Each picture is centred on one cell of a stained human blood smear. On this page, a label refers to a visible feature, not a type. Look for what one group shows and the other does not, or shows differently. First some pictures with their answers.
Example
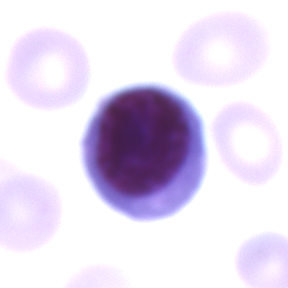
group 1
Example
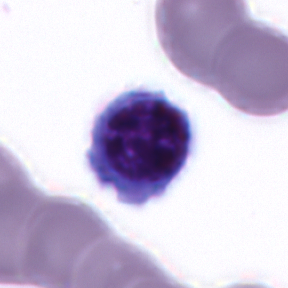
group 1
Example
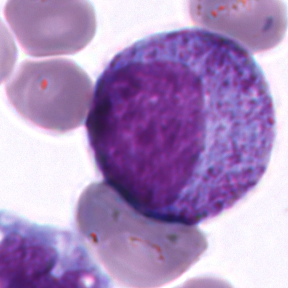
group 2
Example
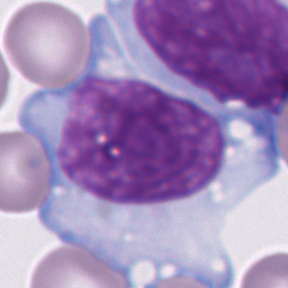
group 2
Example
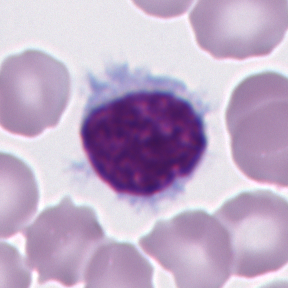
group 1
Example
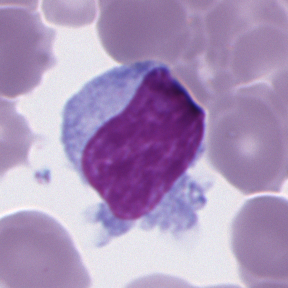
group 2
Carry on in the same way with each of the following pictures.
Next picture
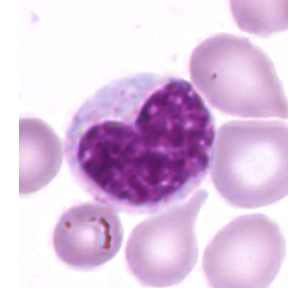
group 1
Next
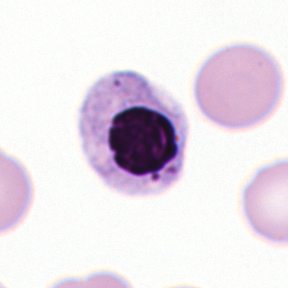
group 2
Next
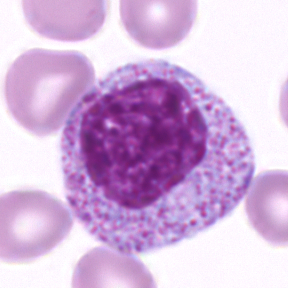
group 2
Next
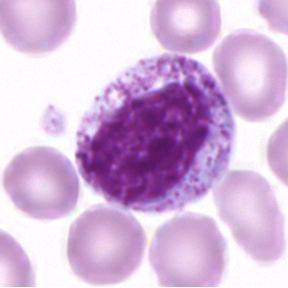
group 1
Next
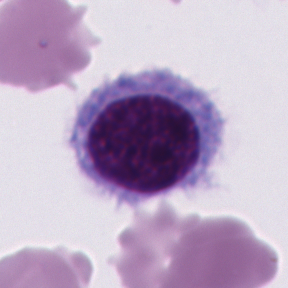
group 1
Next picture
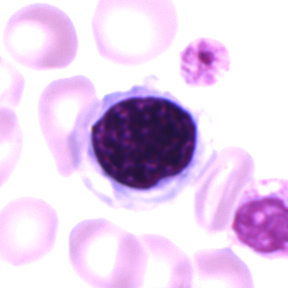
group 1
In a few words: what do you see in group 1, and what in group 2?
group 1: scant cytoplasm; group 2: abundant cytoplasm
